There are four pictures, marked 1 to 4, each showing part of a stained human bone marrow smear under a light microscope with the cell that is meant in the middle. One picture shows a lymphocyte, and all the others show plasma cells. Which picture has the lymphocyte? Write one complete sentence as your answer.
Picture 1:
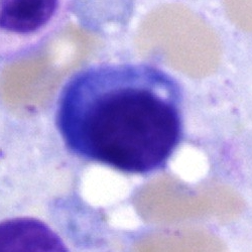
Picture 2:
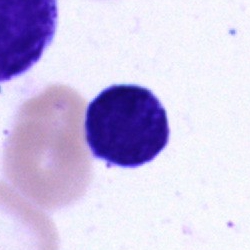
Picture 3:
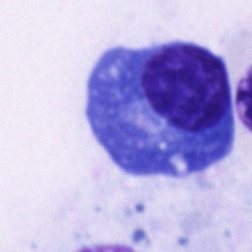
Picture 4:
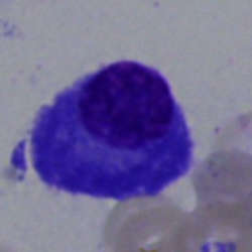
The lymphocyte is the one in picture 2.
